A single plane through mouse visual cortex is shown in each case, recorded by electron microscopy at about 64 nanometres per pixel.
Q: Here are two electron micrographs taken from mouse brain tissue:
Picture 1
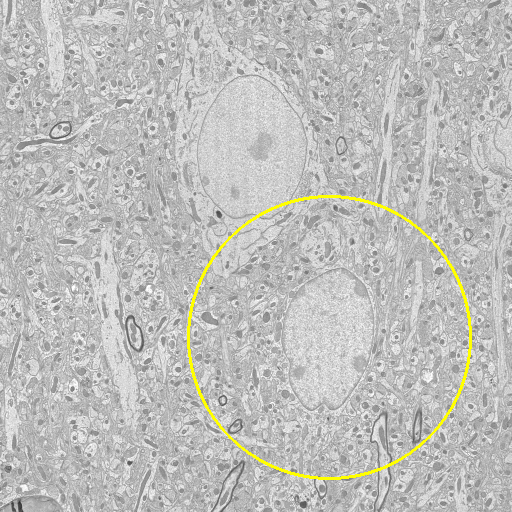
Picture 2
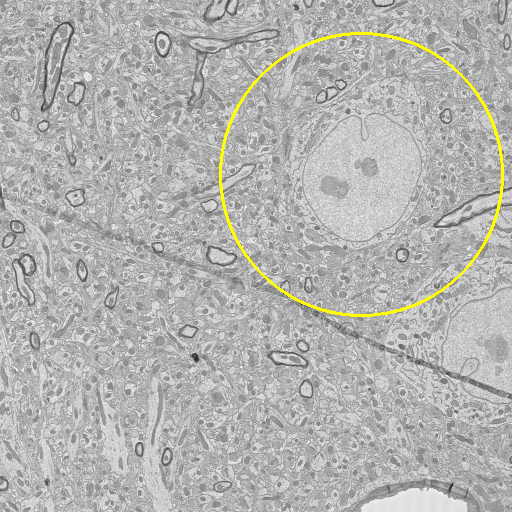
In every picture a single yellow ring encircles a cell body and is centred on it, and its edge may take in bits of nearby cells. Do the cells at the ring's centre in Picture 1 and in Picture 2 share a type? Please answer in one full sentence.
No, the cells at the ring's centre in Picture 1 and Picture 2 are of two types.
